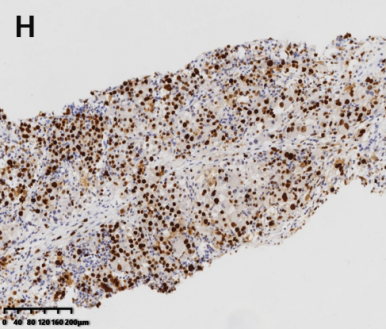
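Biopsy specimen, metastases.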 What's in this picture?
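A core of tumor tissue in which a large share of the cell nuclei are stained dark brown. Brown nuclei are packed closely across the central and left parts of the core, mixed with blue-counterstained nuclei. At the edges and in a band of looser tissue fewer nuclei are brown and most are blue.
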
